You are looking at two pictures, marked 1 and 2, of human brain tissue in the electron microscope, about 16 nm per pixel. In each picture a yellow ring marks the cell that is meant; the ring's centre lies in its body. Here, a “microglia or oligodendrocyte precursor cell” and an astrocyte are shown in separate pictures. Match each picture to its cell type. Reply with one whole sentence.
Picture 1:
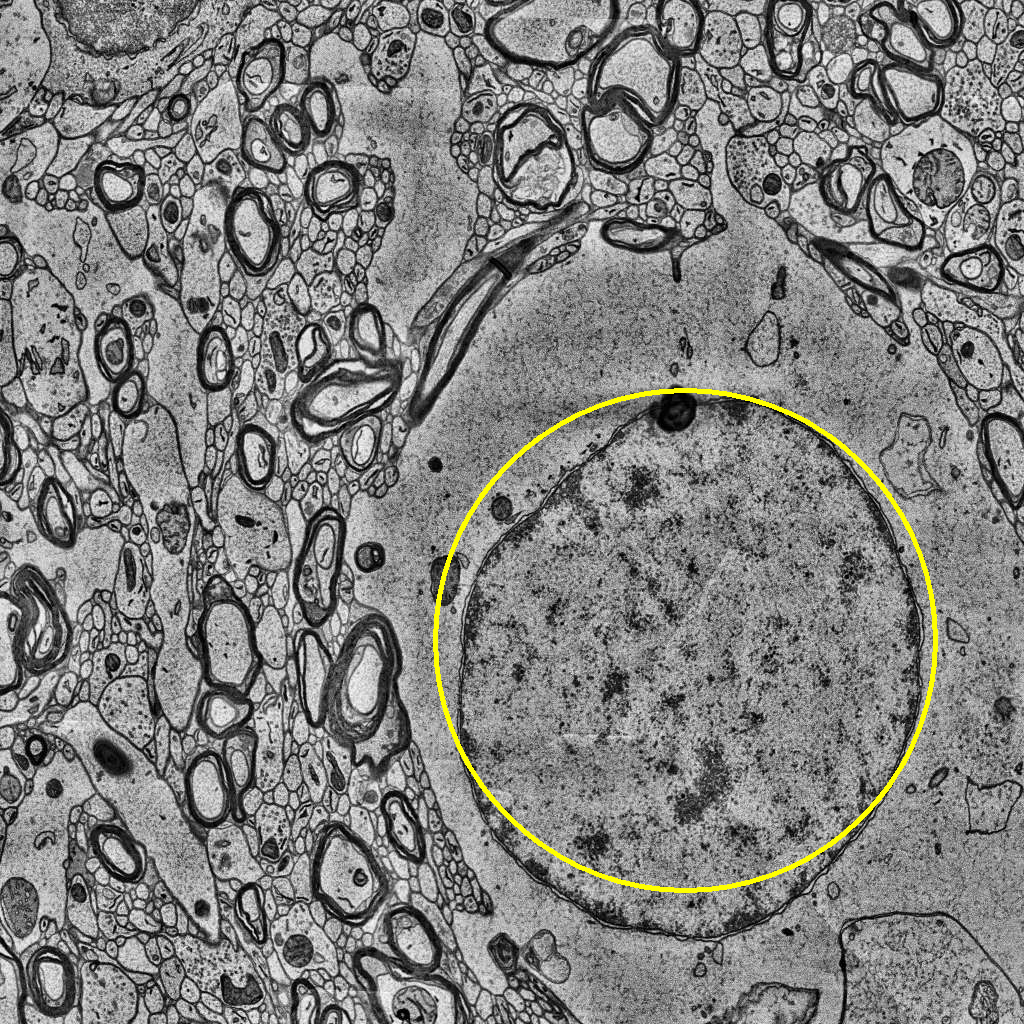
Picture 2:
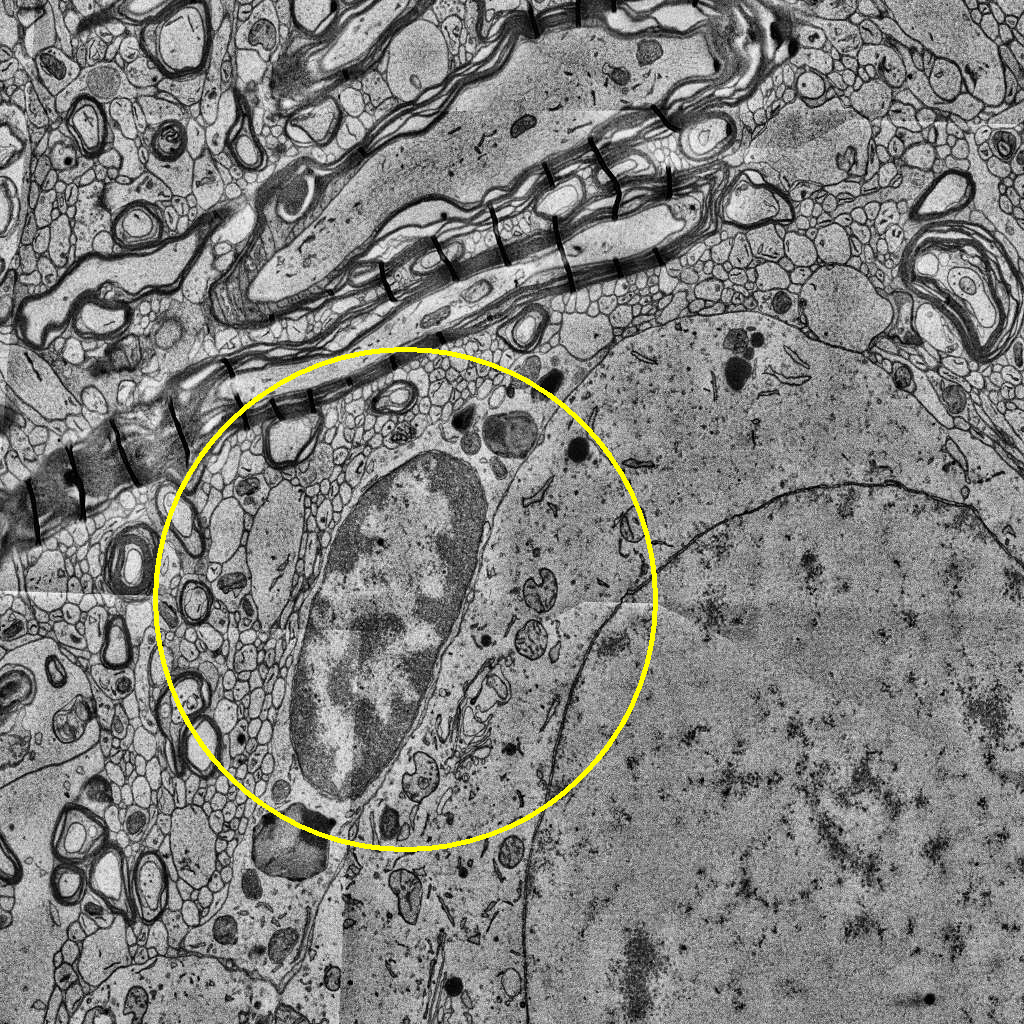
Picture 1 shows an astrocyte and picture 2 shows a “microglia or oligodendrocyte precursor cell”.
